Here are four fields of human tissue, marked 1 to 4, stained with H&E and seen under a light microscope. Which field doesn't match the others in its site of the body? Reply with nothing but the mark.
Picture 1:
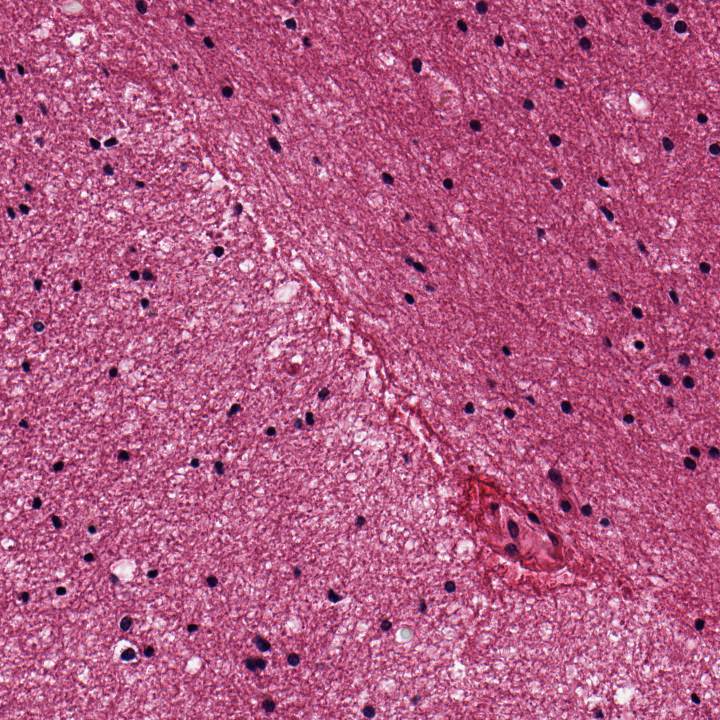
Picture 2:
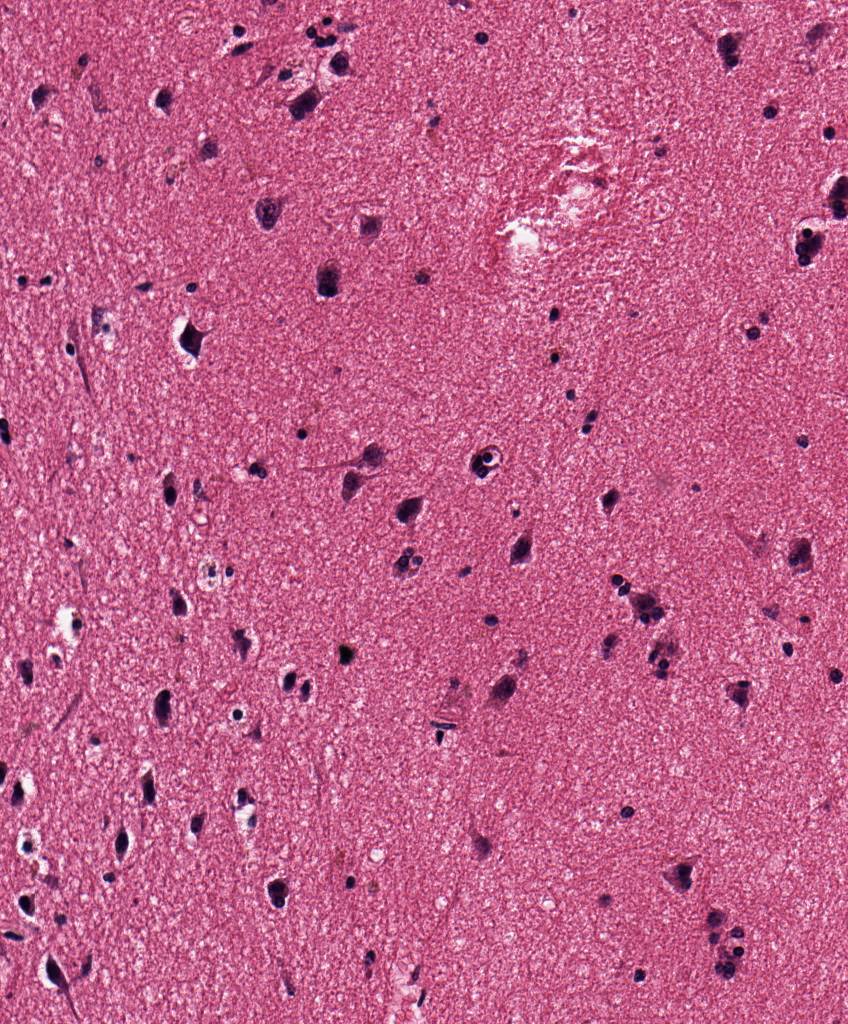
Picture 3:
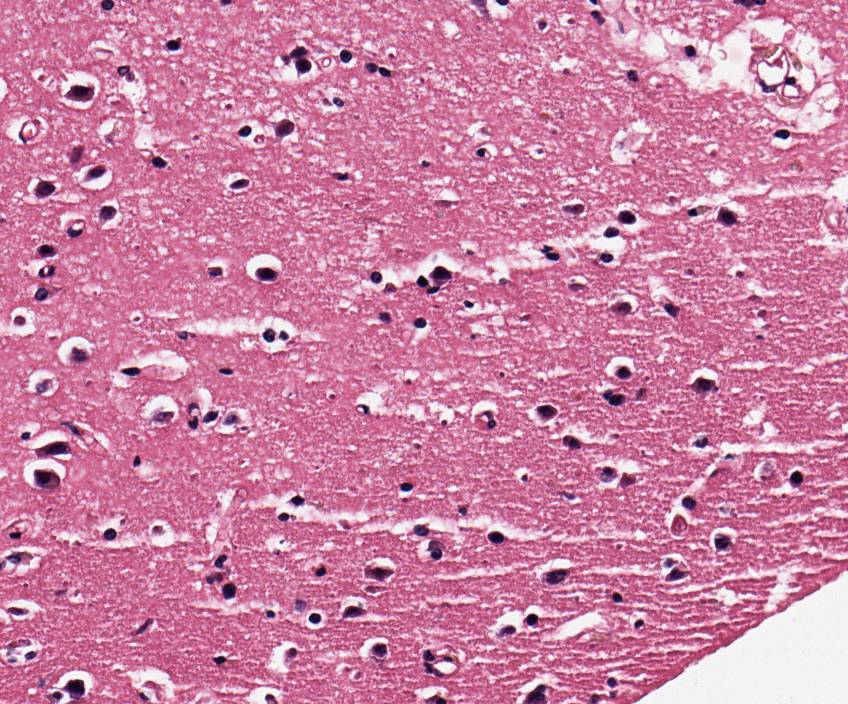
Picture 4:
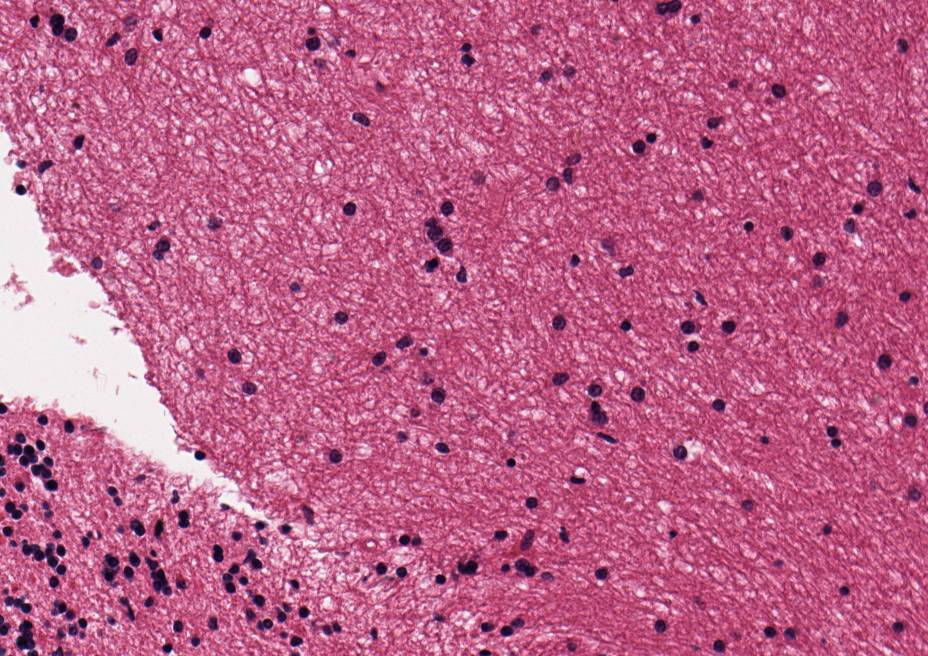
4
